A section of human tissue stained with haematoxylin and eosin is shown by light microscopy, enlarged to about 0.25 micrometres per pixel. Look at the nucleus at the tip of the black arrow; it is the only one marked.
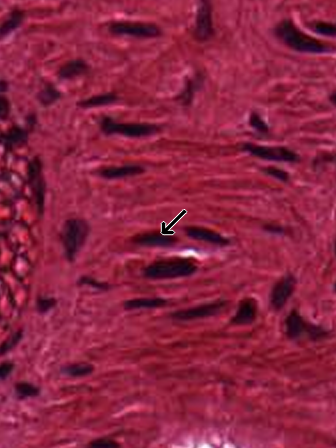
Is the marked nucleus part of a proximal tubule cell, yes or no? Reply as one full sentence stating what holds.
No, the nucleus bearing the mark is not the nucleus of a proximal tubule cell.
